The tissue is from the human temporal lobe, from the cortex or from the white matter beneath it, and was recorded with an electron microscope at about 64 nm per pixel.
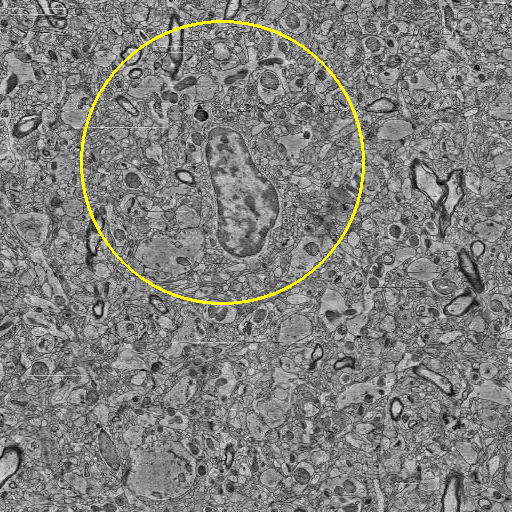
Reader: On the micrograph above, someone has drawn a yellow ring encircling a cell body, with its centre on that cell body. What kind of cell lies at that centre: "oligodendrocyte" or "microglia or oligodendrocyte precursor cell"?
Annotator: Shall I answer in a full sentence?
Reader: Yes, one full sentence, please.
Here a microglial cell or oligodendrocyte precursor cell sits at the centre of the yellow ring drawn on the micrograph.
